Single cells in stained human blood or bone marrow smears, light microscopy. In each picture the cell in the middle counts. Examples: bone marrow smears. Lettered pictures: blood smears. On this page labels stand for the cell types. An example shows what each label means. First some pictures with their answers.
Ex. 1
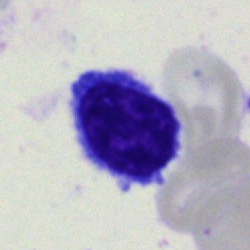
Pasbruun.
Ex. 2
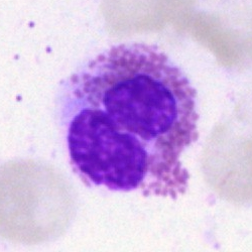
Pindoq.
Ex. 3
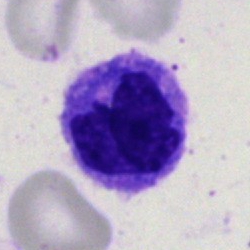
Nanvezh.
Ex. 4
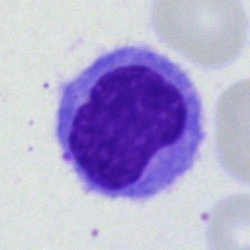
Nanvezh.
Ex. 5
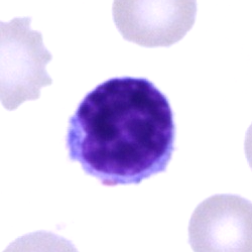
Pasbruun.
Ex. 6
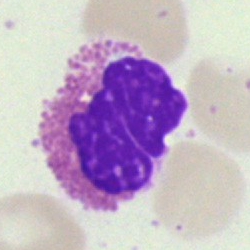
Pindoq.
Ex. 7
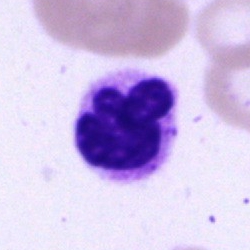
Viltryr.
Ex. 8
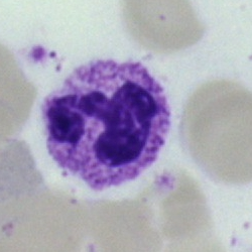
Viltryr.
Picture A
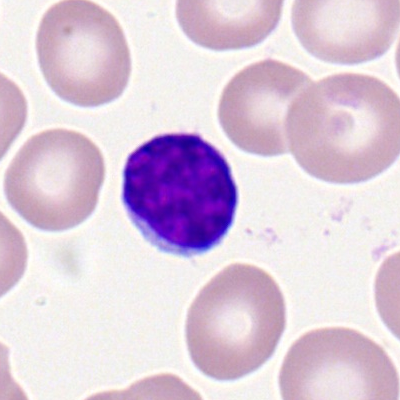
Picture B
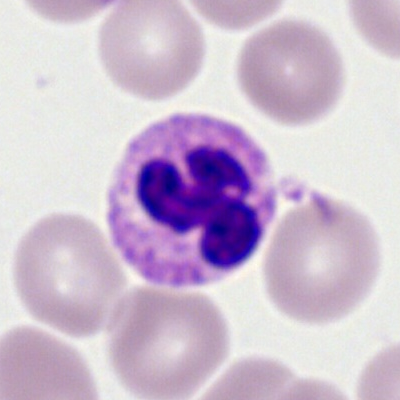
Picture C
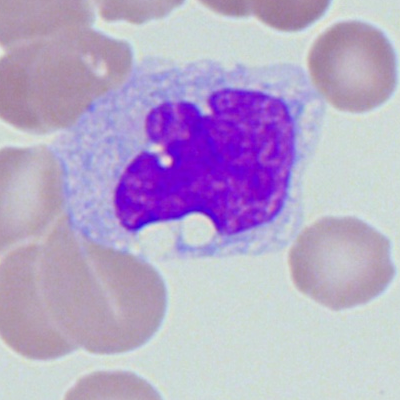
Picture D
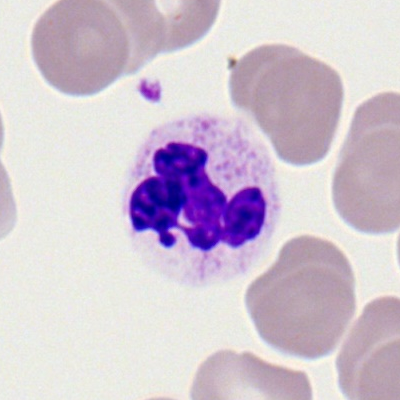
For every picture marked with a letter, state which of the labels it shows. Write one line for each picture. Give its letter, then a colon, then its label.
A: Pasbruun.
B: Viltryr.
C: Nanvezh.
D: Viltryr.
